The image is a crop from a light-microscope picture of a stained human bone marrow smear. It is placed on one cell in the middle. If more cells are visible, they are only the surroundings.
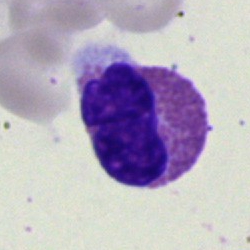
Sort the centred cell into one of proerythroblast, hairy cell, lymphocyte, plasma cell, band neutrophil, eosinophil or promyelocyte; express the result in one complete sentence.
Answering briefly, the cell in the middle is an eosinophil.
